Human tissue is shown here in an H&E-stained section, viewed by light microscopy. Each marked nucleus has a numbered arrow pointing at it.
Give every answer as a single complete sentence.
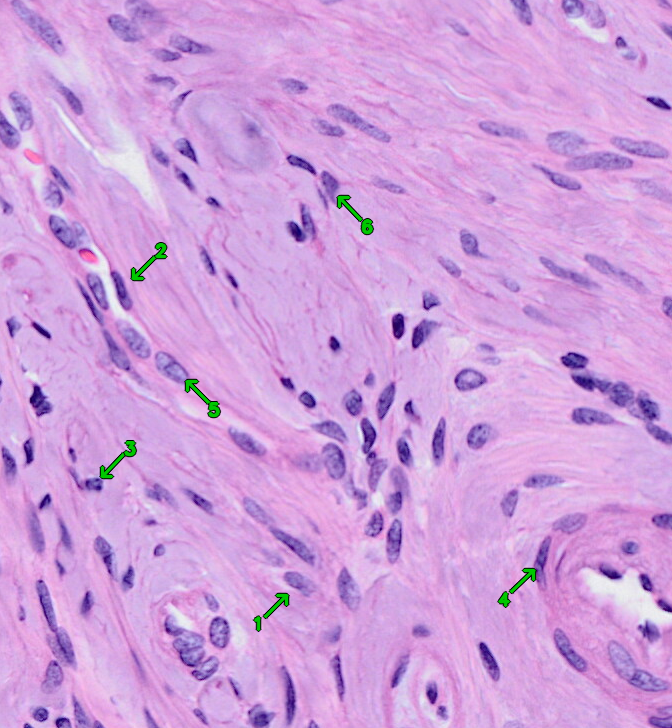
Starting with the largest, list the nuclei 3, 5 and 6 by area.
Largest first, the order by area is 5, 6, 3.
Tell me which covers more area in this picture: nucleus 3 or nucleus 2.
Nucleus 2 covers more area, about 2 times as much as nucleus 3.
